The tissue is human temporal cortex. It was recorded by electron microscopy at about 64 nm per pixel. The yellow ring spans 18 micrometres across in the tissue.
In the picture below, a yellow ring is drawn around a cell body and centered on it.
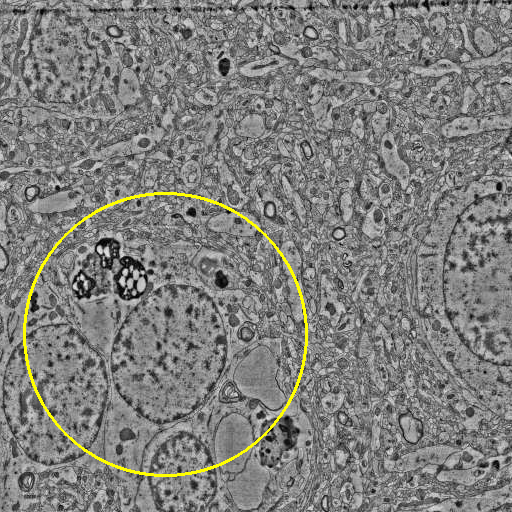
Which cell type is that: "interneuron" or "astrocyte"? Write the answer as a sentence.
The cell centered in the ring is an astrocyte.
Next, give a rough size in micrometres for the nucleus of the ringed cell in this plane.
In this plane, the nucleus of the cell at the centre of the ring measures about 9 by 7 micrometres.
